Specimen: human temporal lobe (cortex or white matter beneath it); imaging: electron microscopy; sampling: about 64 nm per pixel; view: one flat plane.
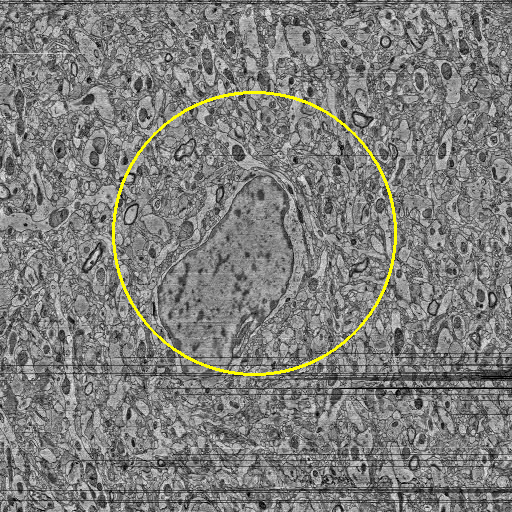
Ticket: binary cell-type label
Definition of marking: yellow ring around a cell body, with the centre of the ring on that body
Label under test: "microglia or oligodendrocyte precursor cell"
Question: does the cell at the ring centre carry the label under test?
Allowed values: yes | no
yes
